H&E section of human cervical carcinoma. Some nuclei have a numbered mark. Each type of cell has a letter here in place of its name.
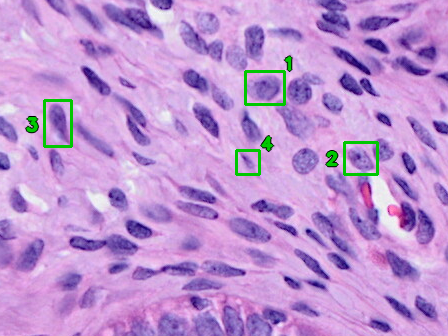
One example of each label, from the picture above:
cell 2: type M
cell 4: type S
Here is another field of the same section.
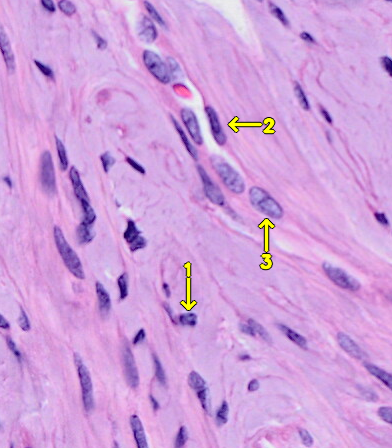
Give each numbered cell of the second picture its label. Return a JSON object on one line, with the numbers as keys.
{"1": "type S", "2": "type M", "3": "type M"}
